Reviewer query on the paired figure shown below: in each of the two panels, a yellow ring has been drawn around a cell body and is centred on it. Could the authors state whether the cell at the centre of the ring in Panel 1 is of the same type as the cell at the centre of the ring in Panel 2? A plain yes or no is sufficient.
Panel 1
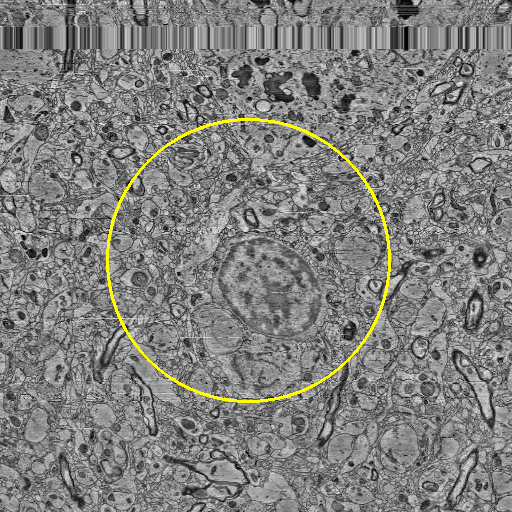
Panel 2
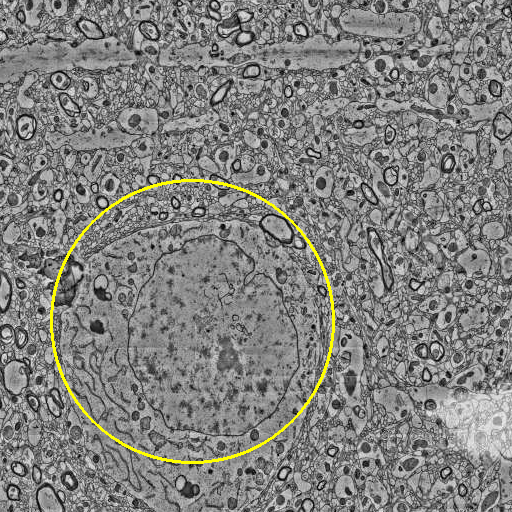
no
